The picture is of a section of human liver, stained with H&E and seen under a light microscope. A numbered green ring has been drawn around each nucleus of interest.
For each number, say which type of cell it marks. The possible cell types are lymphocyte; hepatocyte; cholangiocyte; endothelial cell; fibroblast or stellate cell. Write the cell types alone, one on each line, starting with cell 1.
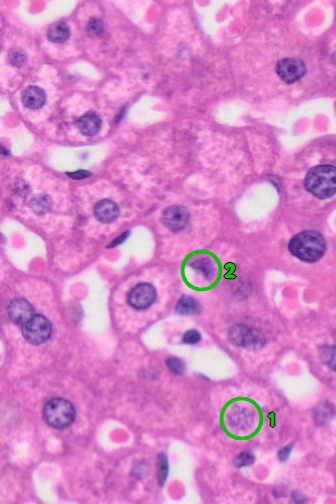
hepatocyte
endothelial cell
